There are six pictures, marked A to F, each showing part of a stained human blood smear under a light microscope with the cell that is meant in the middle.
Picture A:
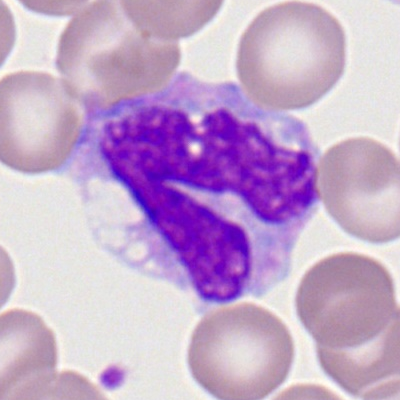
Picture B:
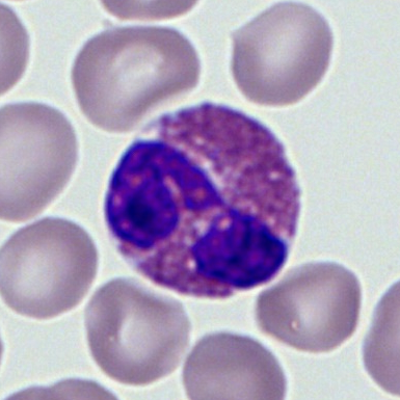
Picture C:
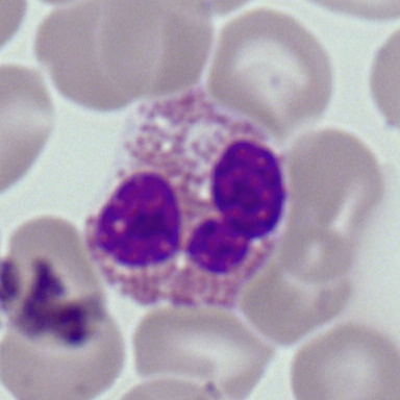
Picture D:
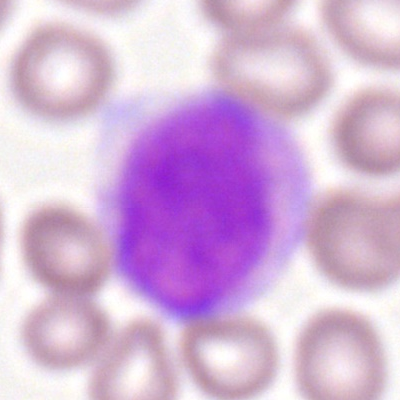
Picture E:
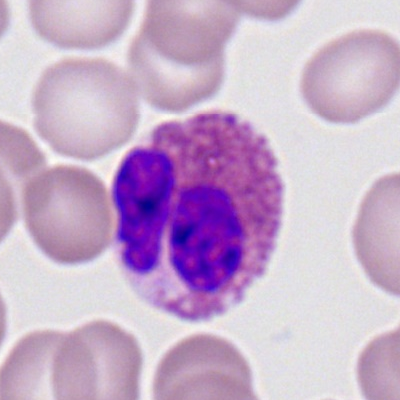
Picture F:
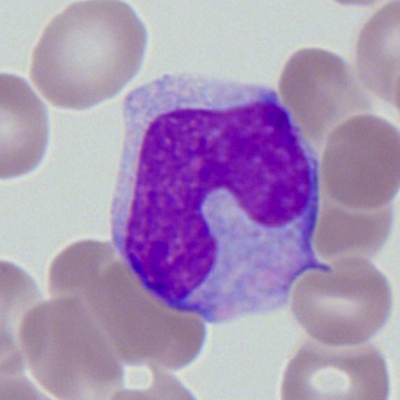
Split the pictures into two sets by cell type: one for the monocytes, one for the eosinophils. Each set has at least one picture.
A: monocyte
B: eosinophil
C: eosinophil
D: monocyte
E: eosinophil
F: monocyte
